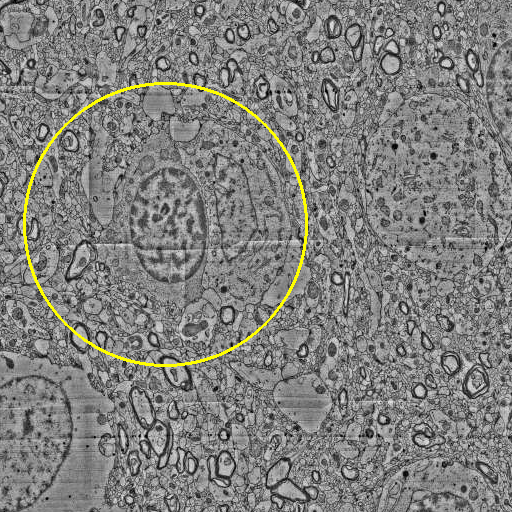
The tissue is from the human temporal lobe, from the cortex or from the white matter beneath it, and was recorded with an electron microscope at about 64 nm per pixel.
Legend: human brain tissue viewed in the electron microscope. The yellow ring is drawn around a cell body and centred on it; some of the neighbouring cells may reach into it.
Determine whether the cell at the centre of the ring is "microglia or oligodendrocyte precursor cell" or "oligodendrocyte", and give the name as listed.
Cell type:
oligodendrocyte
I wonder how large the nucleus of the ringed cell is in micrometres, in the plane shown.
Roughly 7 by 5 micrometres is the size of the nucleus in this plane.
